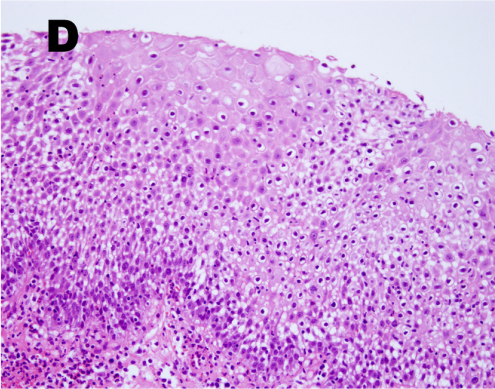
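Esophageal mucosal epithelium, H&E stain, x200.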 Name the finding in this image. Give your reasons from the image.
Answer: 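Dilated intercellular spaces. Many cells appear pale and vacuolated.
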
